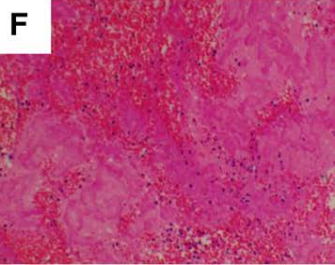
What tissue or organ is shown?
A: Thrombus.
